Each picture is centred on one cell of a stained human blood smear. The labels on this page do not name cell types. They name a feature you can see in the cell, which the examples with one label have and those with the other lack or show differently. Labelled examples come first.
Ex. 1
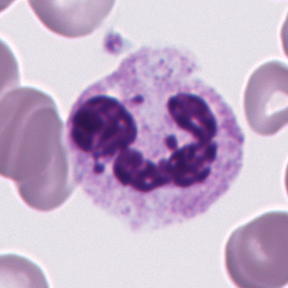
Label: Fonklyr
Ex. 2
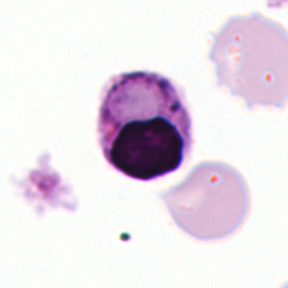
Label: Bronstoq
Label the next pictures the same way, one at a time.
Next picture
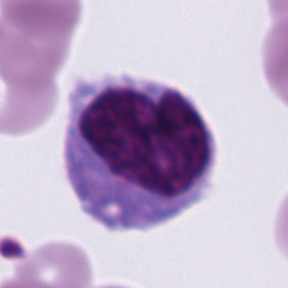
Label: Fonklyr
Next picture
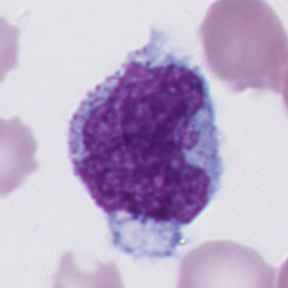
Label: Fonklyr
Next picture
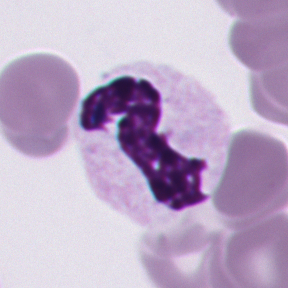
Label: Bronstoq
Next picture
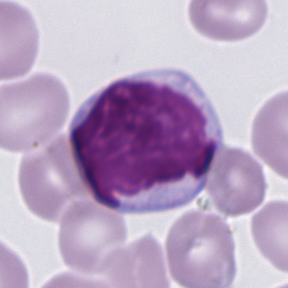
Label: Bronstoq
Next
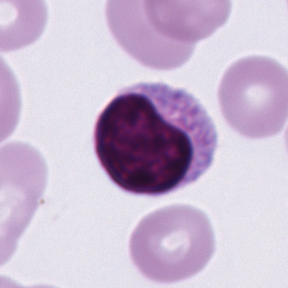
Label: Bronstoq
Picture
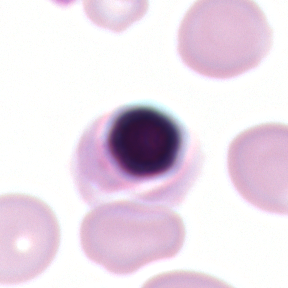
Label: Bronstoq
